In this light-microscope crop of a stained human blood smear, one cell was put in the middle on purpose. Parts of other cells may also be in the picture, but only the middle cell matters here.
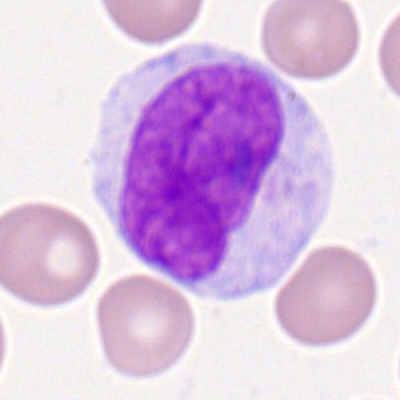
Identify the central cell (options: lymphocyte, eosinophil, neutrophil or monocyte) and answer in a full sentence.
At the crop's centre, the cell is a monocyte.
